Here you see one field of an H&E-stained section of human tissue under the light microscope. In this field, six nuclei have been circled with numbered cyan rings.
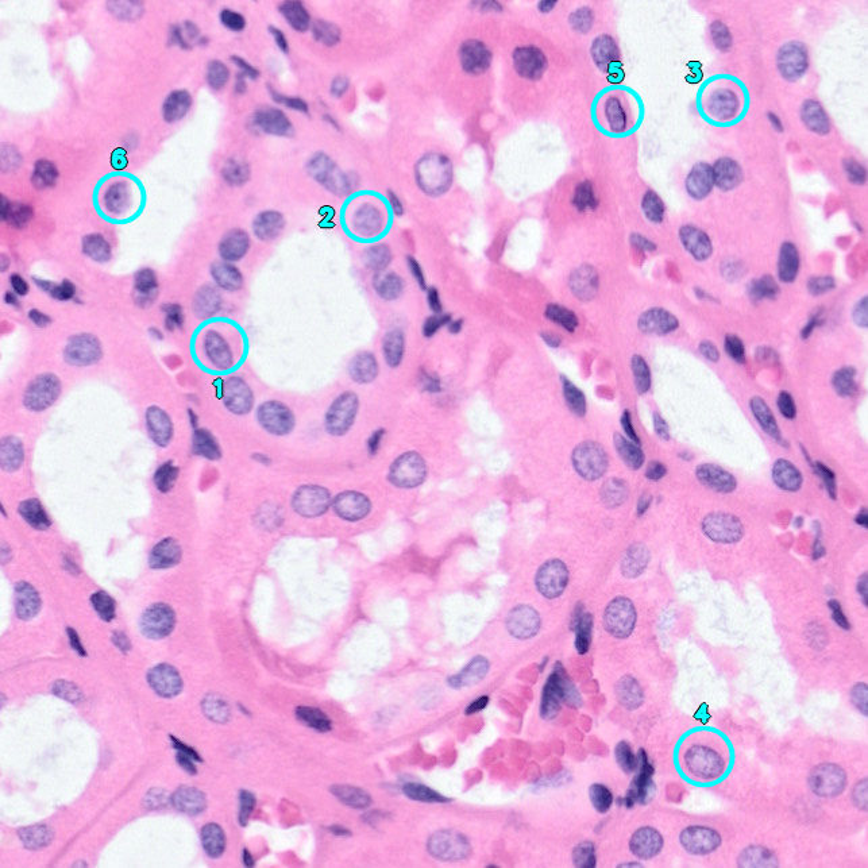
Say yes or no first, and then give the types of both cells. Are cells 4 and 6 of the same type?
No, cell 4 is a proximal tubule cell and cell 6 is a loop of Henle or distal tubule cell.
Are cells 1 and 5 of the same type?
No, cell 1 is a collecting duct cell and cell 5 is a loop of Henle or distal tubule cell.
